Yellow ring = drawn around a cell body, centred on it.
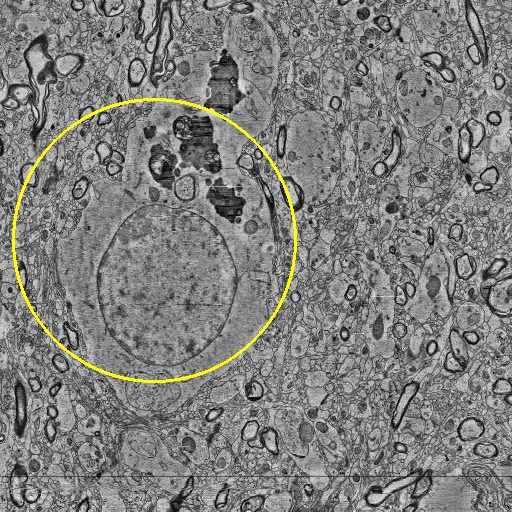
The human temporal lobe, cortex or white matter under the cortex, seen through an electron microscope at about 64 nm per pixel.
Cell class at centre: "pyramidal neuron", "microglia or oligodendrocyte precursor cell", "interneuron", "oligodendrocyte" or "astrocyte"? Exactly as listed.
astrocyte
